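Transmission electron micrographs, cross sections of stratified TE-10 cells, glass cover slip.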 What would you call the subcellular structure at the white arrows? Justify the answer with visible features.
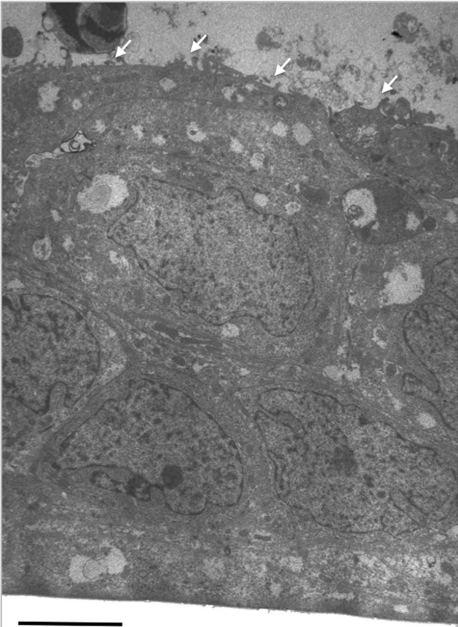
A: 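The arrows point to the free upper surface of the topmost cells. Small projections stick out from that surface into the empty space above. That points to this answer: microvillus formation.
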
